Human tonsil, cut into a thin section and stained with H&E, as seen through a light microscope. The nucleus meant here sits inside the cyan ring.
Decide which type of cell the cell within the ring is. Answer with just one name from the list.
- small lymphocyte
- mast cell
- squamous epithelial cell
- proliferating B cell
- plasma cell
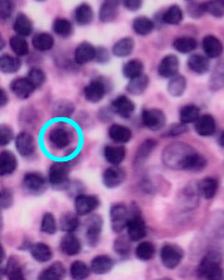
small lymphocyte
